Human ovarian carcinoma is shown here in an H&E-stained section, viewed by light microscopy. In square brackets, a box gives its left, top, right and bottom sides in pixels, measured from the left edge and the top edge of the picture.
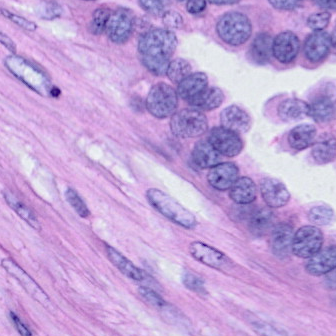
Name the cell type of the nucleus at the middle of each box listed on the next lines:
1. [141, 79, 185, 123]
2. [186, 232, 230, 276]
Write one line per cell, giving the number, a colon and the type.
1: carcinoma cell
2: fibroblast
